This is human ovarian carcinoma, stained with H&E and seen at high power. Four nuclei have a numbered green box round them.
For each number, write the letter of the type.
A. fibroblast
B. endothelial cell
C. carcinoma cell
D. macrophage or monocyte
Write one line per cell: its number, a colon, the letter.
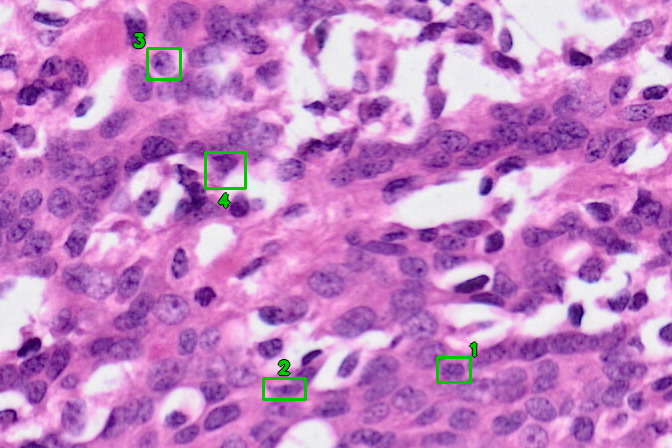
1: C
2: C
3: D
4: C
